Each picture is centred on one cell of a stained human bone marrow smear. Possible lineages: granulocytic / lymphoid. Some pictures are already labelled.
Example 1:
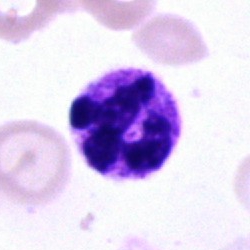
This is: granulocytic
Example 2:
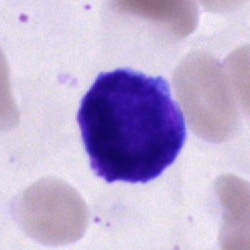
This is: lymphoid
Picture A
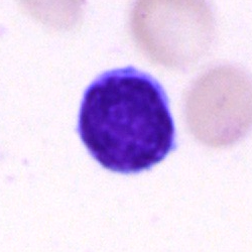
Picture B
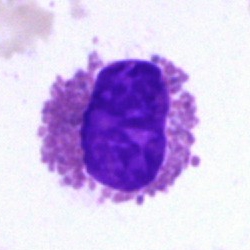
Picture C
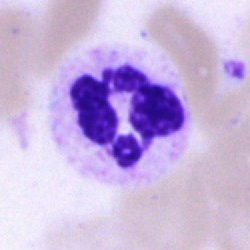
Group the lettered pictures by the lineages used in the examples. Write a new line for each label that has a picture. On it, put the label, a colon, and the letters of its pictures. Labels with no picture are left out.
granulocytic: B, C
lymphoid: A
